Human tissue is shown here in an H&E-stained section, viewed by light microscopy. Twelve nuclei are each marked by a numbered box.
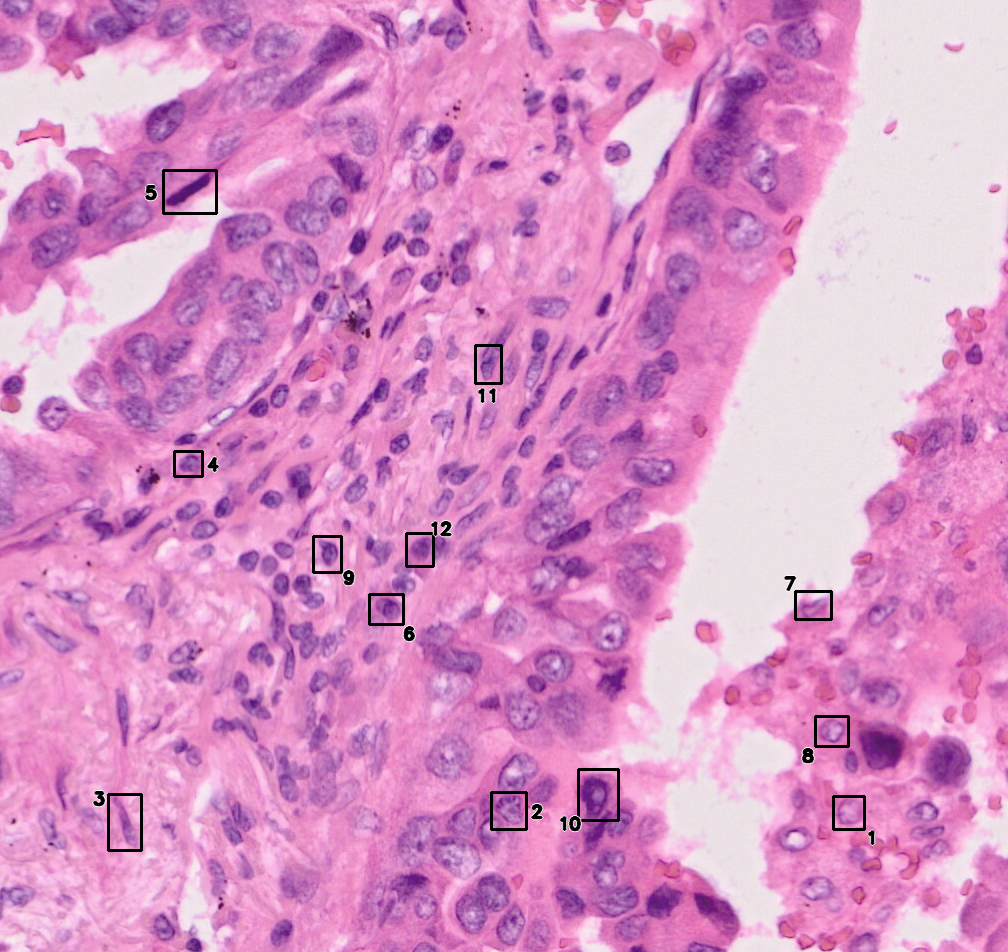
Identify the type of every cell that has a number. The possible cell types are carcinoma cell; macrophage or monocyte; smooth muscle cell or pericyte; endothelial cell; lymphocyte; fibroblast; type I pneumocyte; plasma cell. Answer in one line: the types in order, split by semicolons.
macrophage or monocyte; carcinoma cell; smooth muscle cell or pericyte; plasma cell; carcinoma cell; plasma cell; macrophage or monocyte; macrophage or monocyte; lymphocyte; carcinoma cell; smooth muscle cell or pericyte; plasma cell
